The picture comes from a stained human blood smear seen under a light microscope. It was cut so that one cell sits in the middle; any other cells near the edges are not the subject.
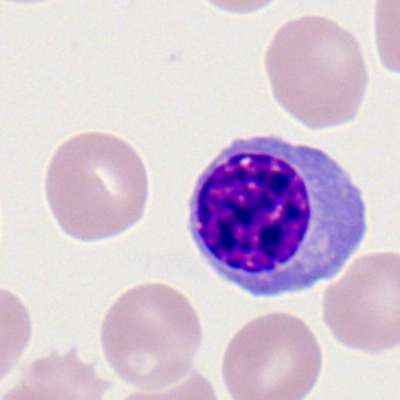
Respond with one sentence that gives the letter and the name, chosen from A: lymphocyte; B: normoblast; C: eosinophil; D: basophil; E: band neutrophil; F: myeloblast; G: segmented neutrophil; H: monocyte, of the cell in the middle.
Well, the cell in the middle is a normoblast, making option B right.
